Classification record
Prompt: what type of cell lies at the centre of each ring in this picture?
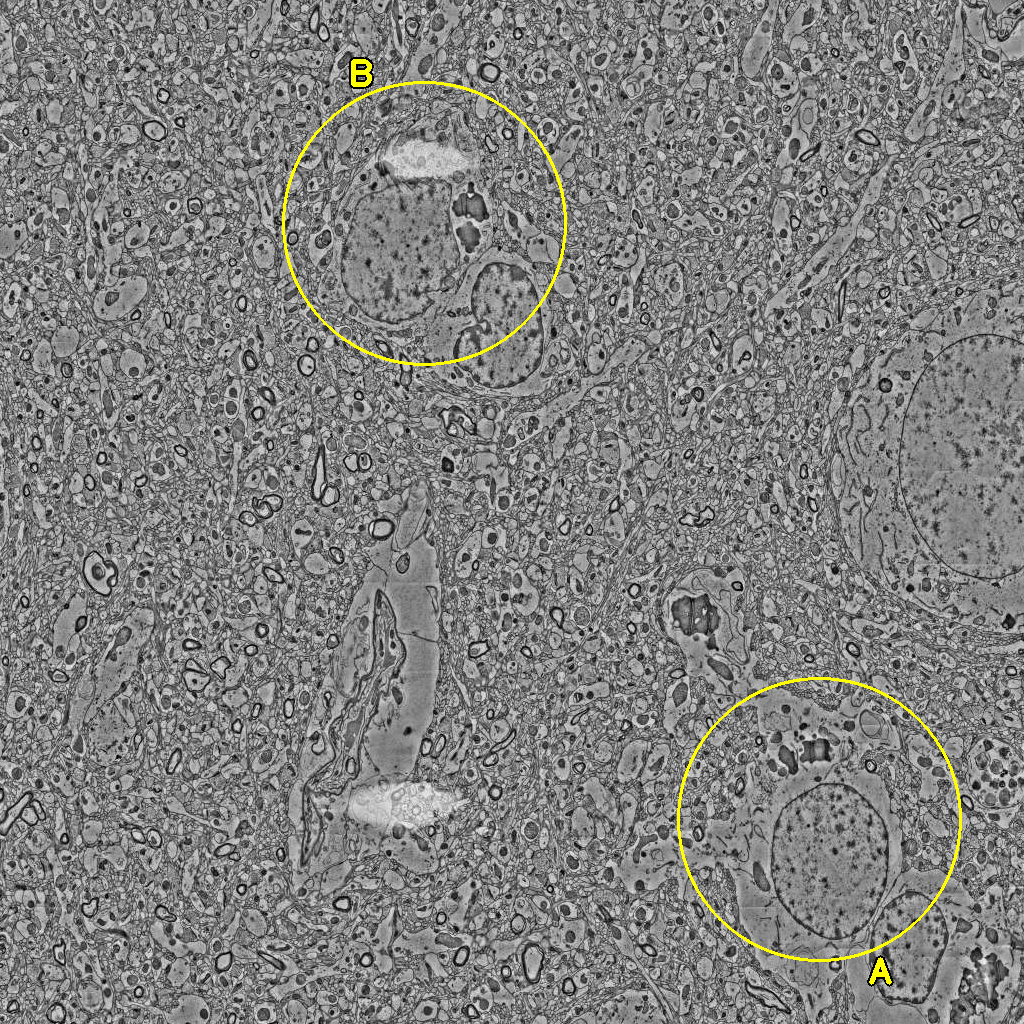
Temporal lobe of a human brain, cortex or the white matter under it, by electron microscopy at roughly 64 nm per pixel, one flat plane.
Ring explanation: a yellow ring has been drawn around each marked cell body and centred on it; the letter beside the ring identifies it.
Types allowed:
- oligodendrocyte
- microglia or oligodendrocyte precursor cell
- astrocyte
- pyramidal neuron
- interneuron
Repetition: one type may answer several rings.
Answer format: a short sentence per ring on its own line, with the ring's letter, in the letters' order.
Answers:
Ring A shows an astrocyte at its centre.
Ring B shows an interneuron at its centre.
